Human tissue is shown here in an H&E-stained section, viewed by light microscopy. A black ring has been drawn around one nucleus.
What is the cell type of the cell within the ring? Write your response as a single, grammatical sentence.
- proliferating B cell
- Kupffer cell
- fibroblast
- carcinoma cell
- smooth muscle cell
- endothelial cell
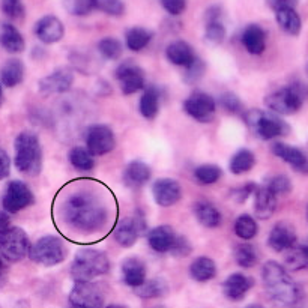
As for its identity, the cell within the ring is a proliferating B cell.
